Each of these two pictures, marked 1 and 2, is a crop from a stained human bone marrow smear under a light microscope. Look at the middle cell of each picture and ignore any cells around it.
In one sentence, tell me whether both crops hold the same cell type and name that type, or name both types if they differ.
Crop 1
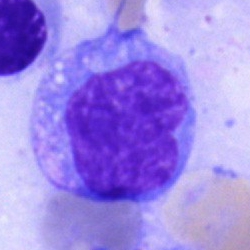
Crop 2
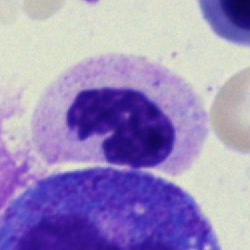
No, look again: crop 1 shows a monocyte, and crop 2 shows a band neutrophil.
